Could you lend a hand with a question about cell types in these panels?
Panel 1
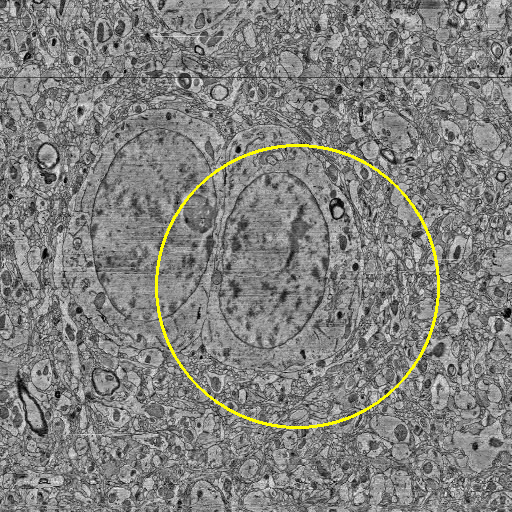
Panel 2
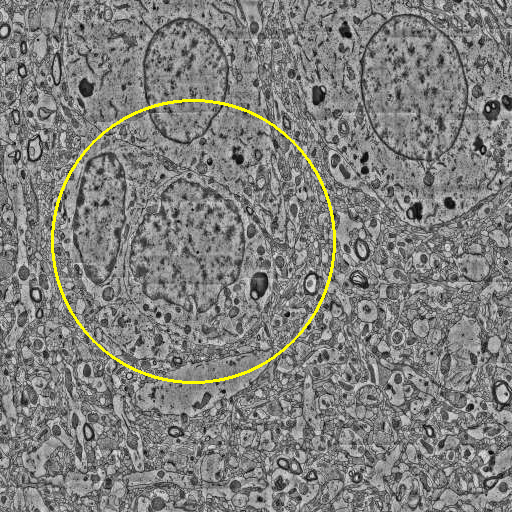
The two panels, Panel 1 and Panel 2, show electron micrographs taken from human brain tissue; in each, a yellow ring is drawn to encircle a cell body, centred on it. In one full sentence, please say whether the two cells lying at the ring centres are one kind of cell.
No, the cells at the ring centres in the two panels are two kinds of cell.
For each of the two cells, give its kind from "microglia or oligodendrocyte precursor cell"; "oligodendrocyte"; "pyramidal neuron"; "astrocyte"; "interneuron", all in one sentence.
The first picture has a pyramidal neuron in its ring, the second has an interneuron.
